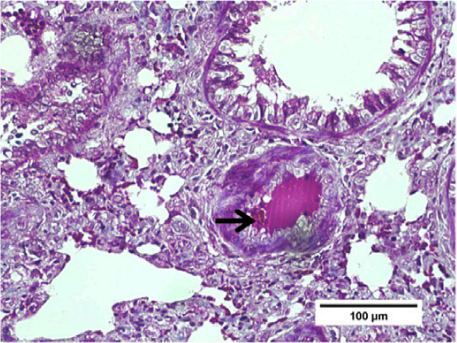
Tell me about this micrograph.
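This is lung tissue showing a muscular pulmonary vessel beside a bronchiole, with alveoli around them. The vessel has a thick purple wall, and its lumen is largely filled with a red, finely streaked mass. The bronchiole at the top right is lined by a folded epithelium of tall cells. Between these structures the alveolar walls are thickened and carry many cells with dark nuclei. Open clear alveolar spaces lie toward the lower part of the field.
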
